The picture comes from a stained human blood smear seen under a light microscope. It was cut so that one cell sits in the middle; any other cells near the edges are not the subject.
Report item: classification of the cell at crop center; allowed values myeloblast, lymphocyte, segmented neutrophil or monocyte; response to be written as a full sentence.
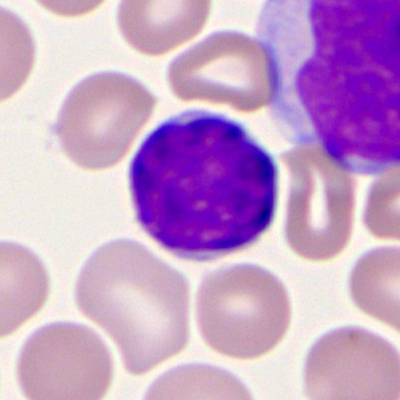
The cell of interest, located centrally, is a lymphocyte.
